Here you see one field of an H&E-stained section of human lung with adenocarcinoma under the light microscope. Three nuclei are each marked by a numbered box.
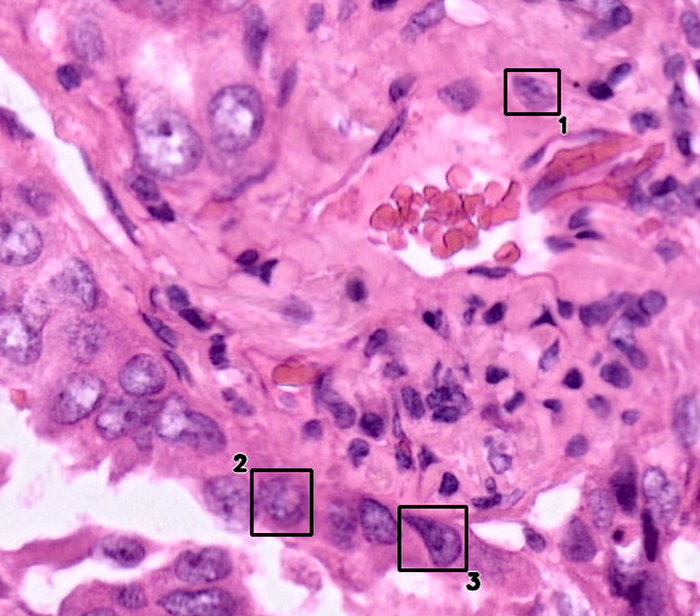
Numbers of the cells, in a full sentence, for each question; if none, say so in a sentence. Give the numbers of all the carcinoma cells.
The cells that have numbers 2 and 3 are carcinoma cells.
